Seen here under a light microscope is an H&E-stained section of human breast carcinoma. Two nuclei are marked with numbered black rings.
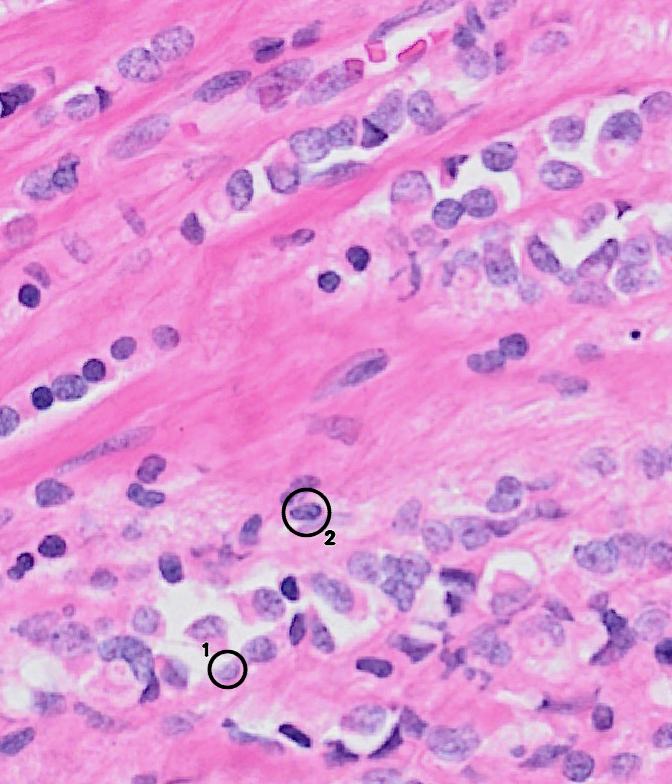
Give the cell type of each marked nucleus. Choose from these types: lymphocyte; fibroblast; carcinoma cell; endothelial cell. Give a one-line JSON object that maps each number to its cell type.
{"1": "carcinoma cell", "2": "lymphocyte"}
